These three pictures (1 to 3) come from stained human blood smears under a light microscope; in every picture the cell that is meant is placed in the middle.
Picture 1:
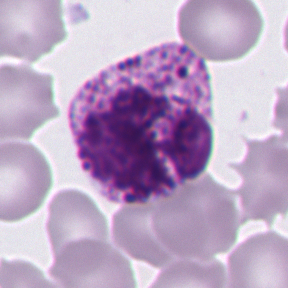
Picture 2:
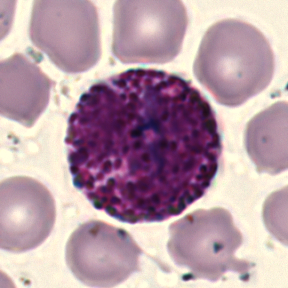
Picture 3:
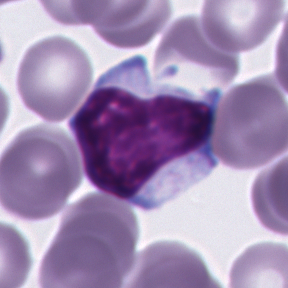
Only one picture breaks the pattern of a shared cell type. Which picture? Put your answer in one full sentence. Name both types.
All pictures except 3 show basophils; picture 3 shows a typical lymphocyte.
